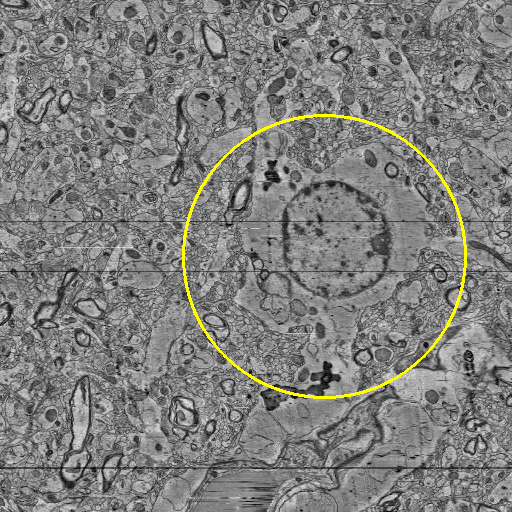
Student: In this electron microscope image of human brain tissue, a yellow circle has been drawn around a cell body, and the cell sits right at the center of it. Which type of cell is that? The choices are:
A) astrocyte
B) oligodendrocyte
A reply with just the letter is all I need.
A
